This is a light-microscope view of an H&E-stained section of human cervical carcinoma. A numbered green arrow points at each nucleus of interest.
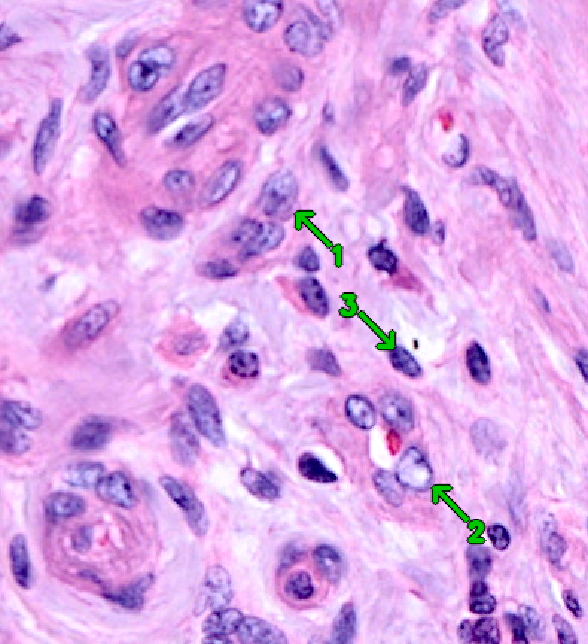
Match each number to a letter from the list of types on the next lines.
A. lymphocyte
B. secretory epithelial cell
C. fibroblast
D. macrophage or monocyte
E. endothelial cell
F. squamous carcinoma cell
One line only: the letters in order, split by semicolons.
E; E; A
